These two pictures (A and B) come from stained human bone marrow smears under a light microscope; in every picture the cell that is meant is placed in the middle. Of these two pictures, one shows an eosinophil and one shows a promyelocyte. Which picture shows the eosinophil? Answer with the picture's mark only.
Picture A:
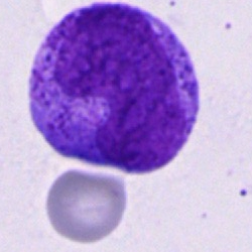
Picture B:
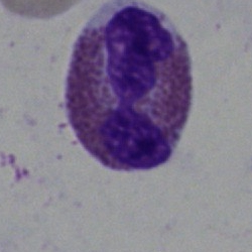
B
